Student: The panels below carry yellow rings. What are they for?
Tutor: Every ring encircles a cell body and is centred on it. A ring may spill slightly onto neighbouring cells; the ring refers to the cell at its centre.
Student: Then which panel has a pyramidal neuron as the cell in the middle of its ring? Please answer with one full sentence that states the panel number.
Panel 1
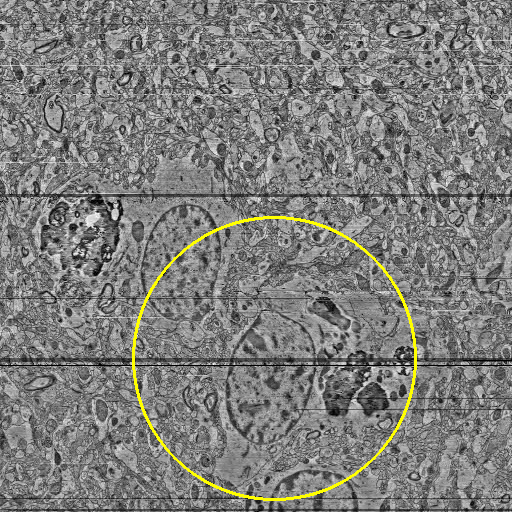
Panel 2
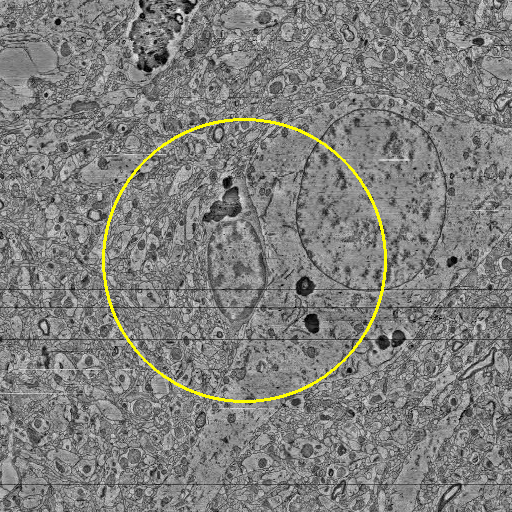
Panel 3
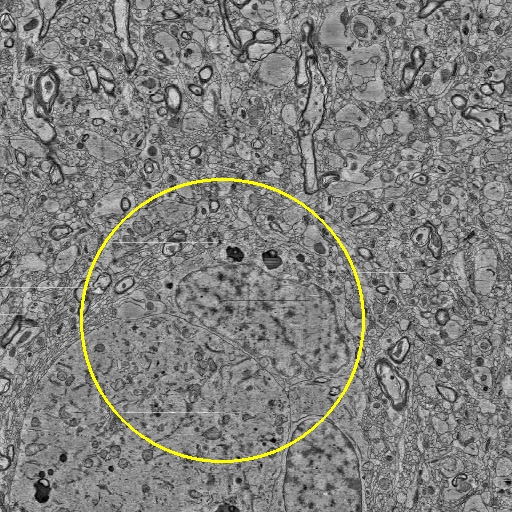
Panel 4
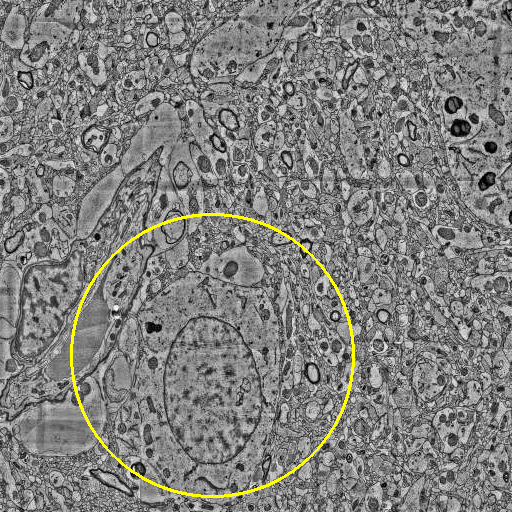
In Panel 4, the cell centred in the ring is the one sought.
